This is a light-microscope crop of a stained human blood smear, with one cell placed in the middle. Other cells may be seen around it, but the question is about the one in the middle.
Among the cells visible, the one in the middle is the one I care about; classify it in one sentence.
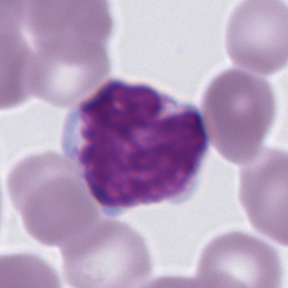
The target cell in the middle of the crop is a large granular lymphocyte.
